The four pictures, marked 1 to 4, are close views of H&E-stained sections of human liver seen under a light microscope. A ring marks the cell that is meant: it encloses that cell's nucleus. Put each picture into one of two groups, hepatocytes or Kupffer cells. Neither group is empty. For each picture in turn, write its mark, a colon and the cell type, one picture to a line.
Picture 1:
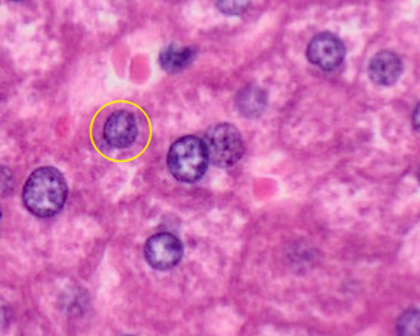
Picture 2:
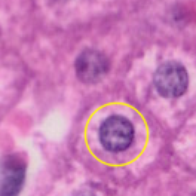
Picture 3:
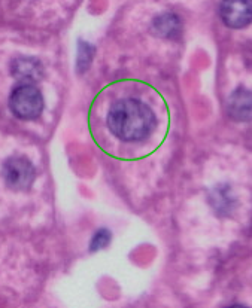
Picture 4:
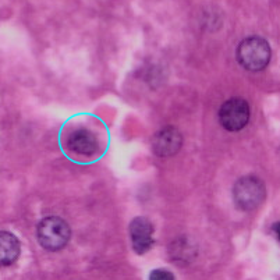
1: hepatocyte
2: hepatocyte
3: hepatocyte
4: Kupffer cell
